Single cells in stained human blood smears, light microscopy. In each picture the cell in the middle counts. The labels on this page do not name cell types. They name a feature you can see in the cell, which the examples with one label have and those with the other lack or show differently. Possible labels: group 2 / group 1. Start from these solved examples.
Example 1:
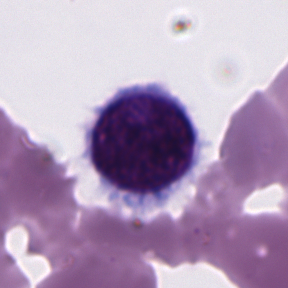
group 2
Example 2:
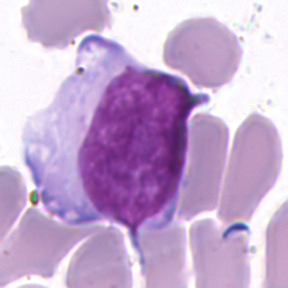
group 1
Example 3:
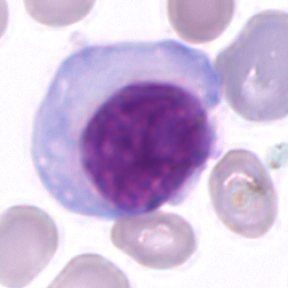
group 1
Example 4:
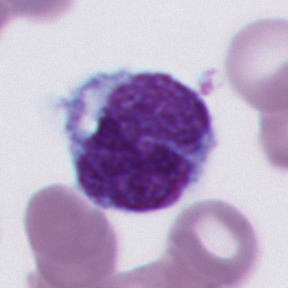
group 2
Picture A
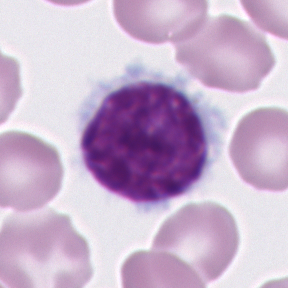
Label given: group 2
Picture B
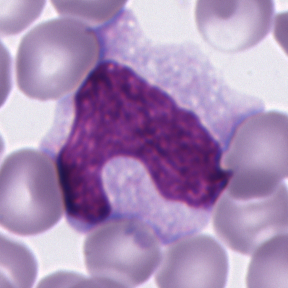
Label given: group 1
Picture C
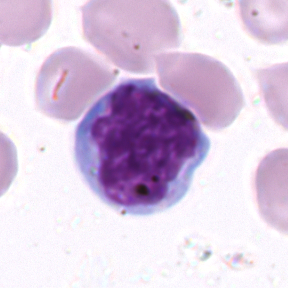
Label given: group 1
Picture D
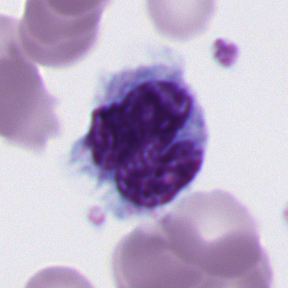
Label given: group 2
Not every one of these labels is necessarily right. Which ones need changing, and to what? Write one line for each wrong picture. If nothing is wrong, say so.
Wrong: C (group 1); correct: group 2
